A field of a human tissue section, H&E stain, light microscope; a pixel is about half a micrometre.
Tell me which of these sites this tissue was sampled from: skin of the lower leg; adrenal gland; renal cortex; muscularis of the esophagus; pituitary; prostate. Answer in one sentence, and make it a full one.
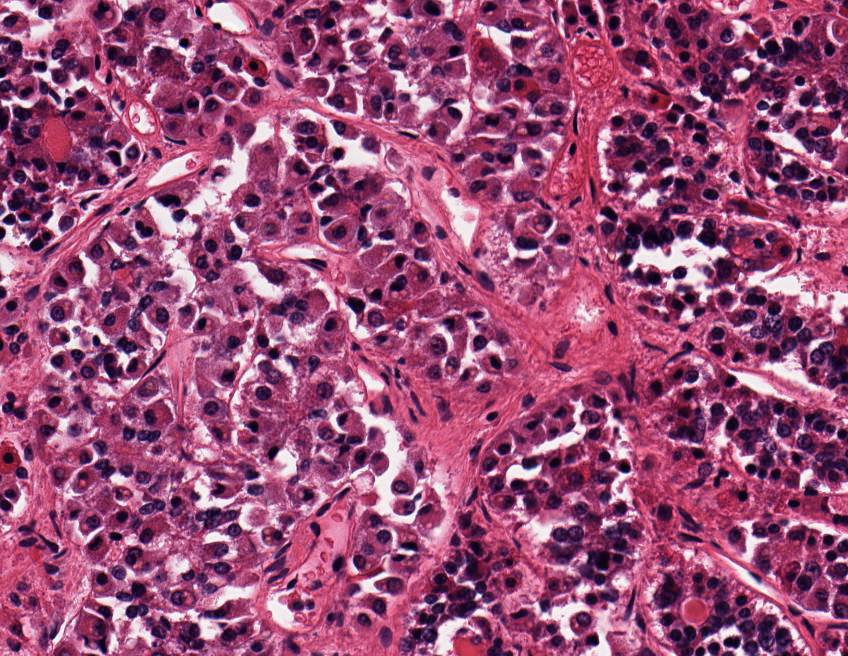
It was from the pituitary that this tissue was sampled.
